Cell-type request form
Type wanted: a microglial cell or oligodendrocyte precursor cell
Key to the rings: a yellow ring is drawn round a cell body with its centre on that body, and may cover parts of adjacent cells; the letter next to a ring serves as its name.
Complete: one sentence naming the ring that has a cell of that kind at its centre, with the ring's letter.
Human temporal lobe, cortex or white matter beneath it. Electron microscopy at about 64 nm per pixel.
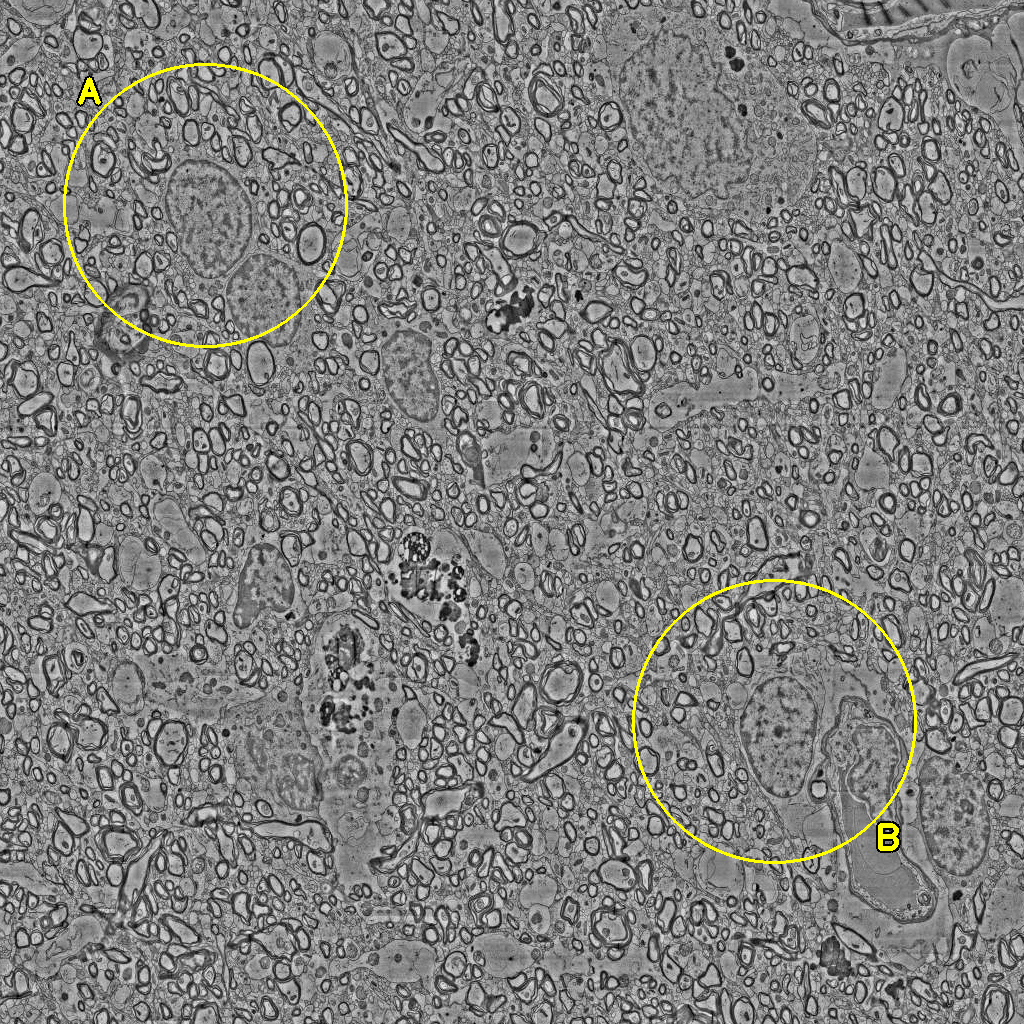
A cell of that kind sits at the centre of the ring labelled B.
